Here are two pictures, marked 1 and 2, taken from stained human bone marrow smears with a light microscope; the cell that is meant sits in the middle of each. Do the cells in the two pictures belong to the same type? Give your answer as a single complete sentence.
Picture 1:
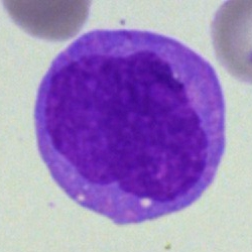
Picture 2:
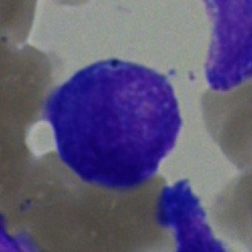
Yes; the cells in both pictures are blasts.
